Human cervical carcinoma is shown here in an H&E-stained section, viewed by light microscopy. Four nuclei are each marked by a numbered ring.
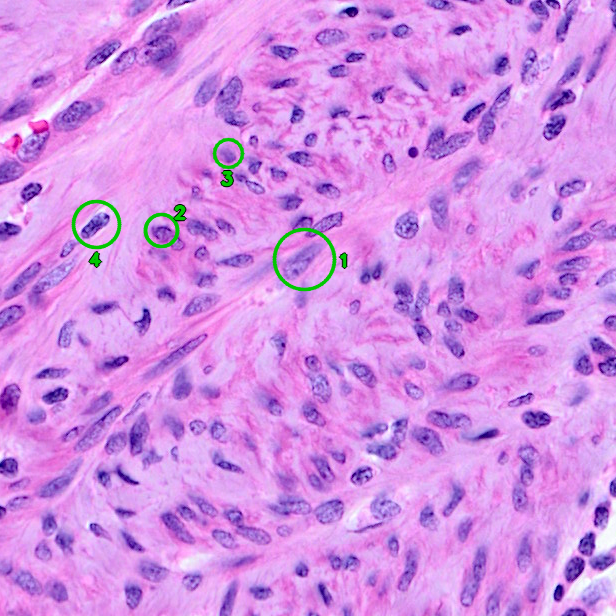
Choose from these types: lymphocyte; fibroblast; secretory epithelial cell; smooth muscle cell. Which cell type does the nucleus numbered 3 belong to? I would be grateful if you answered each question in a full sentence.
The cell marked with the number 3 is a smooth muscle cell.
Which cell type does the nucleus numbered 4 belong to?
The identity of cell 4 is that of a lymphocyte.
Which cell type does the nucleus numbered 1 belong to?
The cell identified by number 1 is a smooth muscle cell.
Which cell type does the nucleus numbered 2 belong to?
The cell identified by the number 2 is a smooth muscle cell.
